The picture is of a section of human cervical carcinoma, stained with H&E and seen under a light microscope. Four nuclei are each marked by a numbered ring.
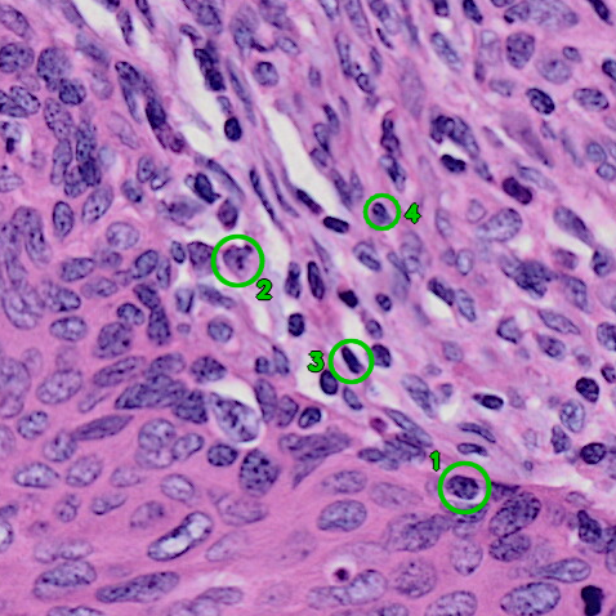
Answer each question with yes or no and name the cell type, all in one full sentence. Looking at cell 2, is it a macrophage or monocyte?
Yes, as for number 2, the cell is a macrophage or monocyte.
